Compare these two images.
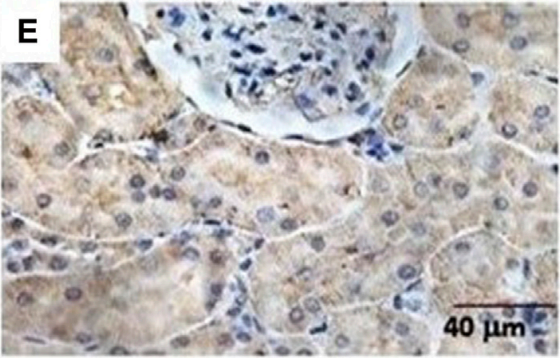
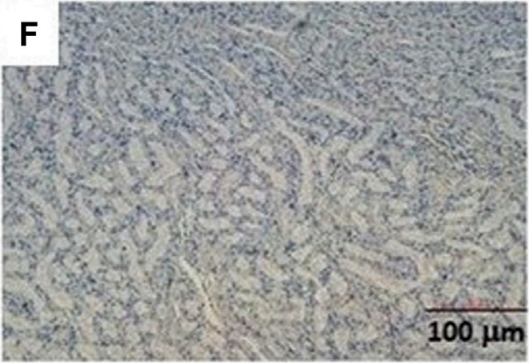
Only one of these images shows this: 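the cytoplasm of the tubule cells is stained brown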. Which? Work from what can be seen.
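The first image. Second image: tubules show only blue nuclei and pale unstained cytoplasm. First image: tubule cell cytoplasm has a light brown granular tint.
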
